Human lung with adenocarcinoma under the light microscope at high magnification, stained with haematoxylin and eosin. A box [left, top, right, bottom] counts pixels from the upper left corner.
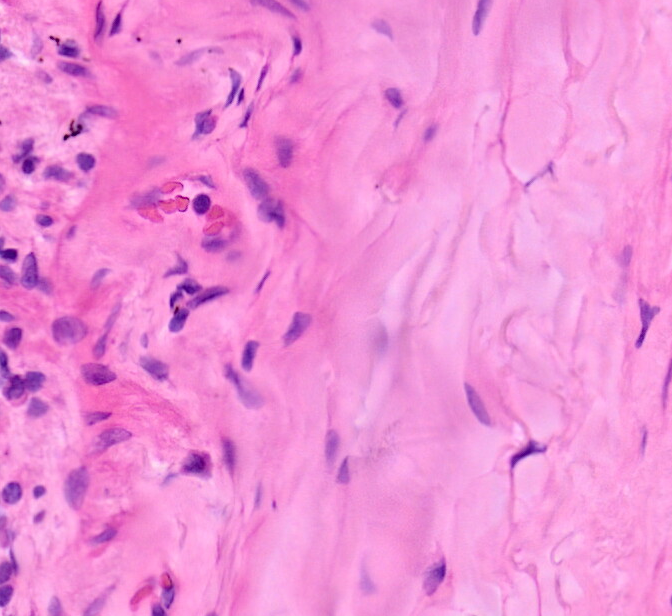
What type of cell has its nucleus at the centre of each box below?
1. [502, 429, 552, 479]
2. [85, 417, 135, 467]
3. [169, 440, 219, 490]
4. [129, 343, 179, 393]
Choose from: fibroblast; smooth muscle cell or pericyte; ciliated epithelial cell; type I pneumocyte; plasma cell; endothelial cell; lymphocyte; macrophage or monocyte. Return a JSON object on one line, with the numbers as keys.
{"1": "fibroblast", "2": "smooth muscle cell or pericyte", "3": "plasma cell", "4": "fibroblast"}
